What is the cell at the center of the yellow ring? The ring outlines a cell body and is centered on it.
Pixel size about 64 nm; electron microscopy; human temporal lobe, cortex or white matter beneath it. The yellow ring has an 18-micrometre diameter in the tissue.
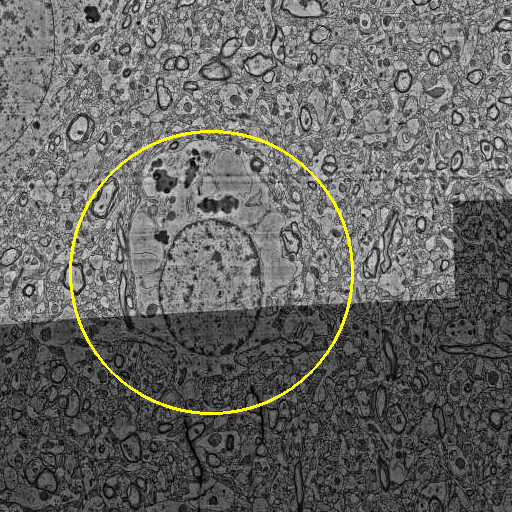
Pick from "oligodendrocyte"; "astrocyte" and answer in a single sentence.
The yellow ring is centered on an astrocyte.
